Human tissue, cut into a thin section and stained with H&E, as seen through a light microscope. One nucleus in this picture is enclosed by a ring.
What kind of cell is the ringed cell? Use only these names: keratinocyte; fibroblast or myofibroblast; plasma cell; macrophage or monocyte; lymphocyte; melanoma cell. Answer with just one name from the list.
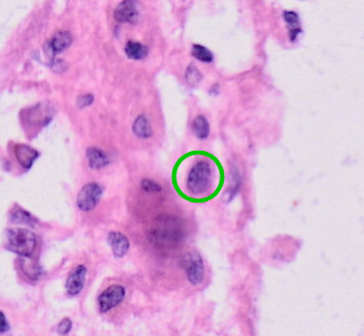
macrophage or monocyte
